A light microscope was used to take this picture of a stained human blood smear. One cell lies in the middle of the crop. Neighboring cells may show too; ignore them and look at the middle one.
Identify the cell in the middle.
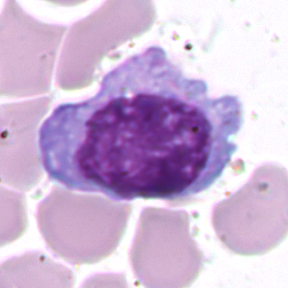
plasma cell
